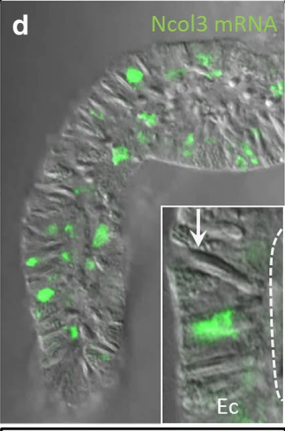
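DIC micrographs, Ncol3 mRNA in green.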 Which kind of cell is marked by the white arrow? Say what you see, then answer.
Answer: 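Mature cnidocyte. The arrow points to an elongated, refractile capsule-like body. Similar elongated capsules are packed side by side across the tissue.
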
